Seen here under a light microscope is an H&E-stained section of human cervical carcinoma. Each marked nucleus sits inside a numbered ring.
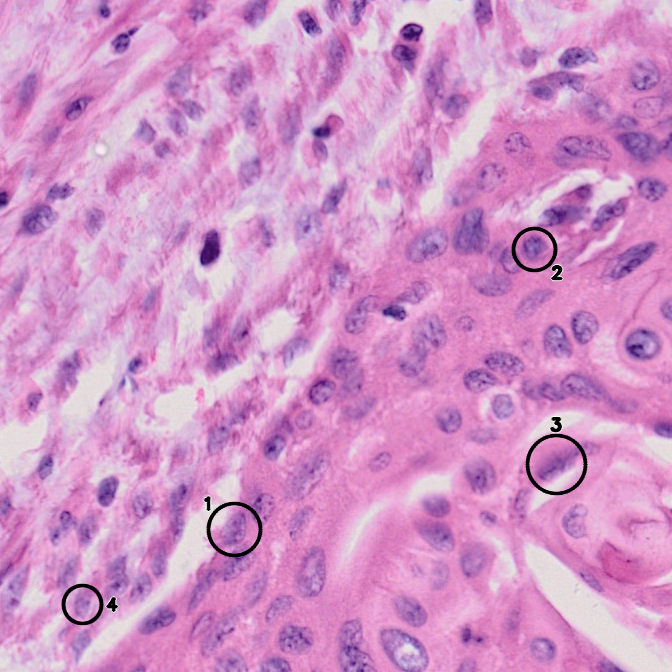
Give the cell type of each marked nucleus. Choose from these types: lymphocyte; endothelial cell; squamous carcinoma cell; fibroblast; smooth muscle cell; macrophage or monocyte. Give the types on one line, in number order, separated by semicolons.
squamous carcinoma cell; squamous carcinoma cell; squamous carcinoma cell; fibroblast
